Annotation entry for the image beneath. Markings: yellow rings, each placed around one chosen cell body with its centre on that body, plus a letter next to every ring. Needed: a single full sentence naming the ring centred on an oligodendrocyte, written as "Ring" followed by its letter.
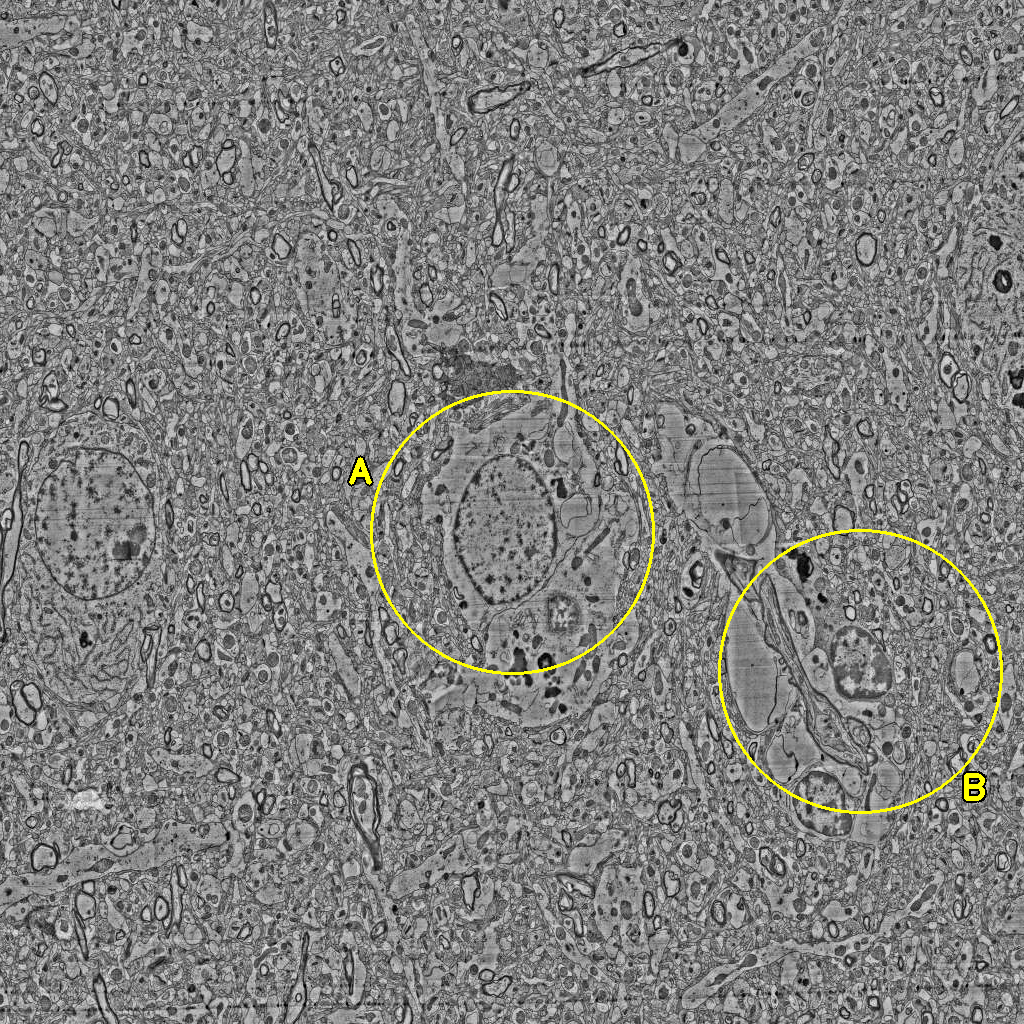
The image shows the cell in question at the centre of Ring B.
